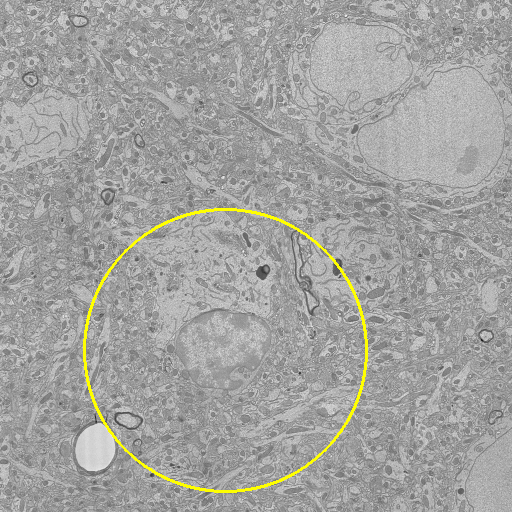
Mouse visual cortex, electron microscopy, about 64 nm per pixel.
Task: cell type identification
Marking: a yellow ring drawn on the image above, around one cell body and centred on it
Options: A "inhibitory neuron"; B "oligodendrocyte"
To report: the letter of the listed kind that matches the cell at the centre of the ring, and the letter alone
B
